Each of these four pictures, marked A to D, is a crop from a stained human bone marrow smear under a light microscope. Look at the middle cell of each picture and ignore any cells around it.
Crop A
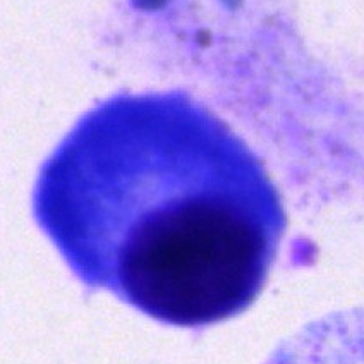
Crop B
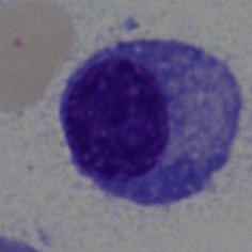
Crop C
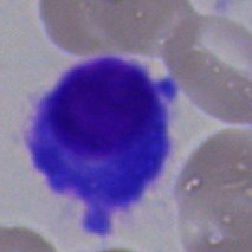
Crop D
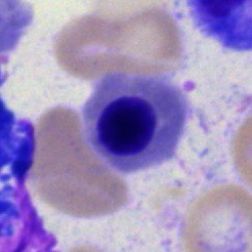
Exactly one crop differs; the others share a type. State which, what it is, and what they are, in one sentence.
For this set, crop D is an erythroblast, and all the rest are plasma cells.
